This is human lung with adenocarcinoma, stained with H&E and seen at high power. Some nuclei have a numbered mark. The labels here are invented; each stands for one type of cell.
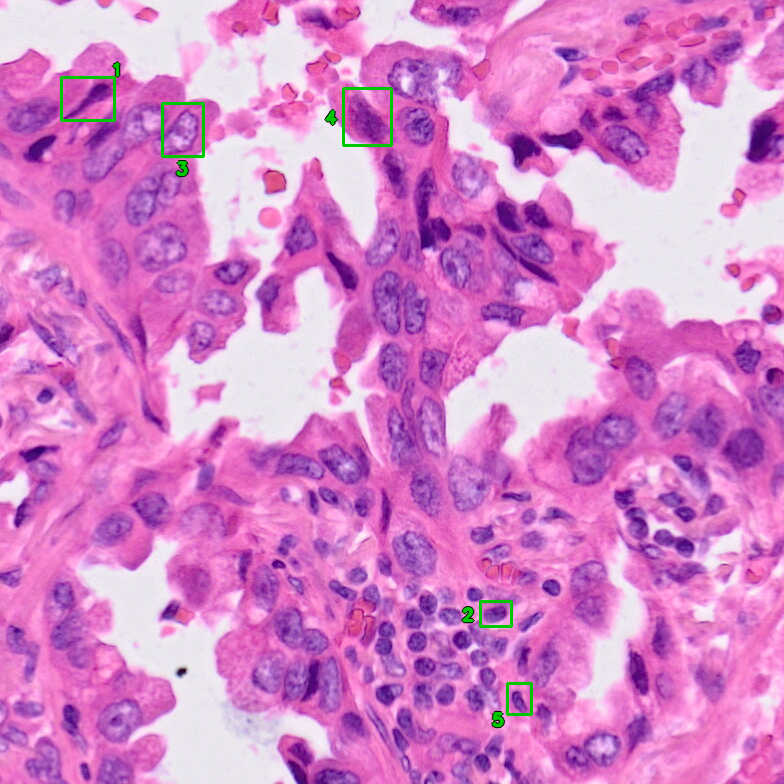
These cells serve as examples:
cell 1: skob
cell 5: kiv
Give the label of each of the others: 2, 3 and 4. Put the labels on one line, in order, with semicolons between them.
kiv; skob; skob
